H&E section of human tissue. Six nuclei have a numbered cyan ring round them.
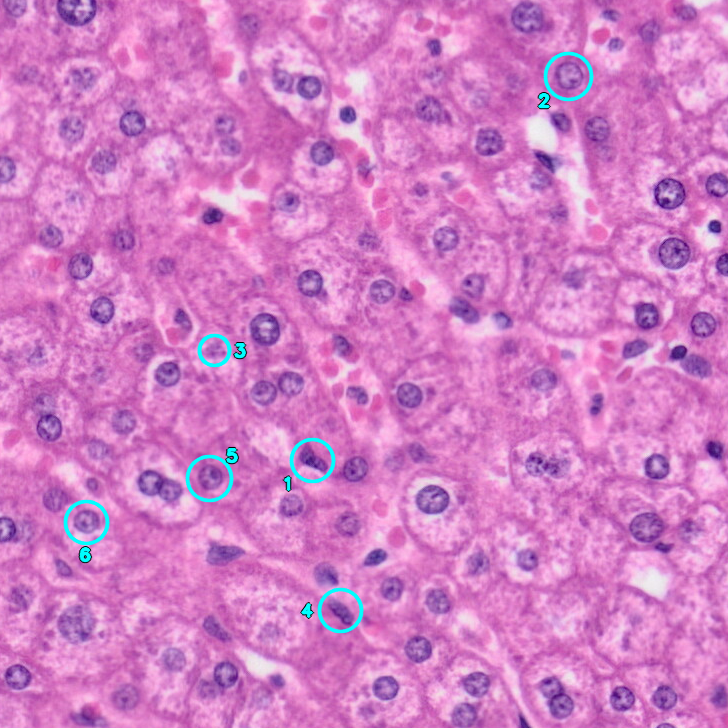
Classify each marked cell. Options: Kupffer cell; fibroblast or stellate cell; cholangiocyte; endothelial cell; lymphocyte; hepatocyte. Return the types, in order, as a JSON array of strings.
["fibroblast or stellate cell", "hepatocyte", "hepatocyte", "fibroblast or stellate cell", "hepatocyte", "hepatocyte"]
